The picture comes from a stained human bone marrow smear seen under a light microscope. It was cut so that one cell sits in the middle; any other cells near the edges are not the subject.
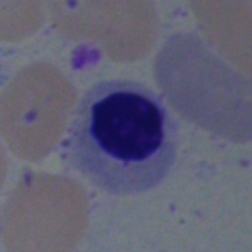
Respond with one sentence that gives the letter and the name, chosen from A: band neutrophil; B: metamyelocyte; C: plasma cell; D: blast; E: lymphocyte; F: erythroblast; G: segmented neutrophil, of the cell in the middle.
The cell in the middle is an erythroblast, and so option F is correct.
